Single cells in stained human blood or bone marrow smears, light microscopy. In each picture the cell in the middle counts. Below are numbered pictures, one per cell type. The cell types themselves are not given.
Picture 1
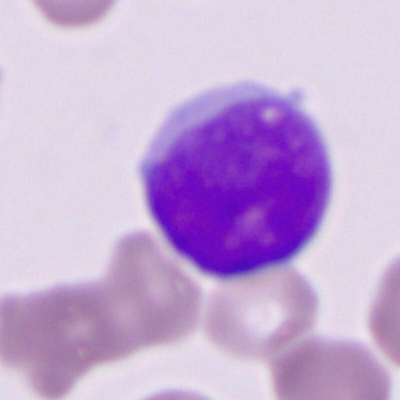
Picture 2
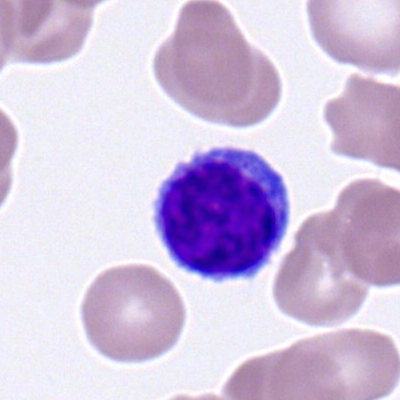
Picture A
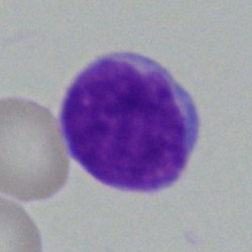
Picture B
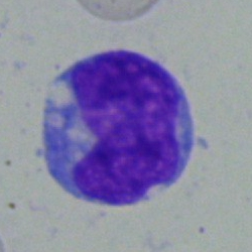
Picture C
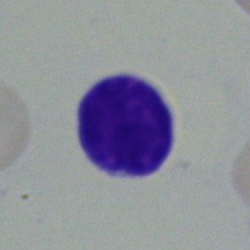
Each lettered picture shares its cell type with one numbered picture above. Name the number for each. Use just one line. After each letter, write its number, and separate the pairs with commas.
A 1, B 1, C 2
